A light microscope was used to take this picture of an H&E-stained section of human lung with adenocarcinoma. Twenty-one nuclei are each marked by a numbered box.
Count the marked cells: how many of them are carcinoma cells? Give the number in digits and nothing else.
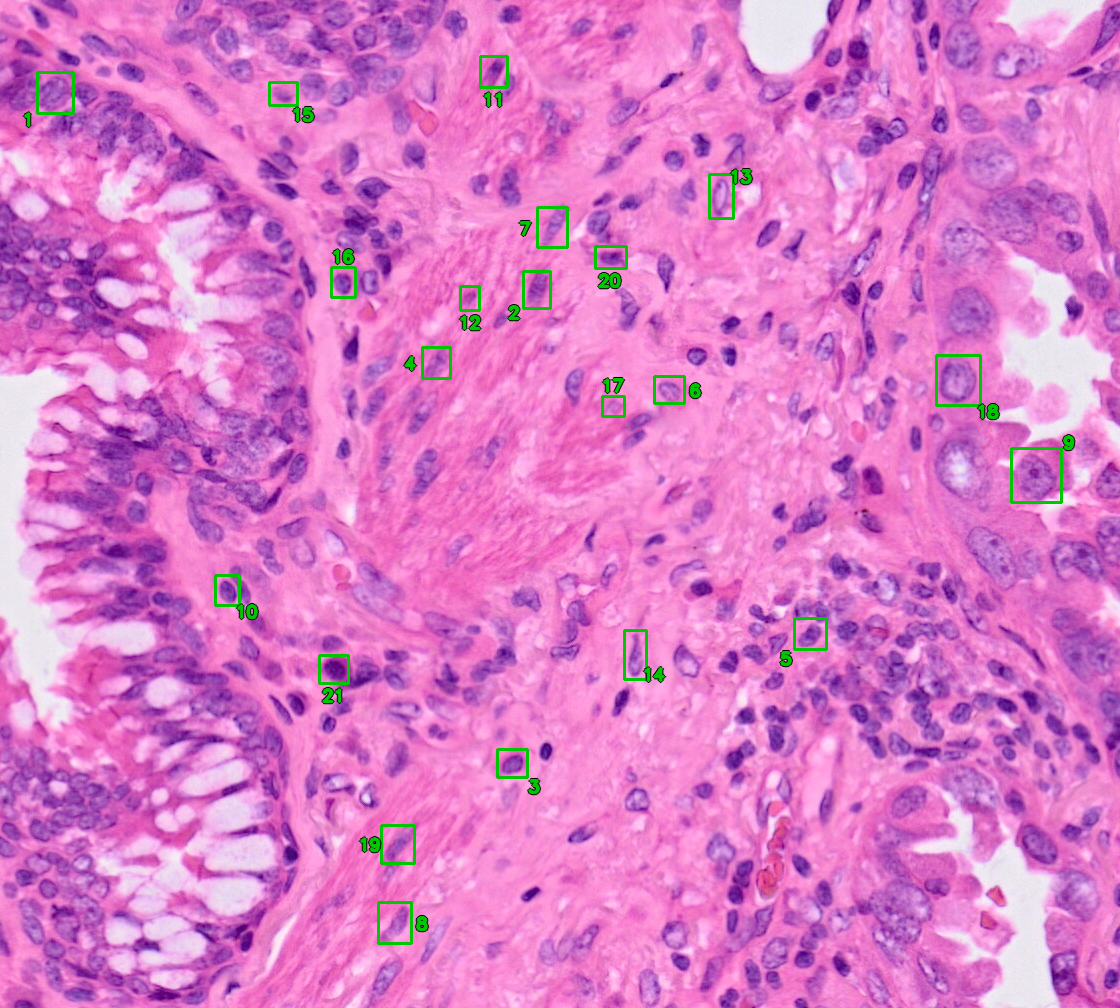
2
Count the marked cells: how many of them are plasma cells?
2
